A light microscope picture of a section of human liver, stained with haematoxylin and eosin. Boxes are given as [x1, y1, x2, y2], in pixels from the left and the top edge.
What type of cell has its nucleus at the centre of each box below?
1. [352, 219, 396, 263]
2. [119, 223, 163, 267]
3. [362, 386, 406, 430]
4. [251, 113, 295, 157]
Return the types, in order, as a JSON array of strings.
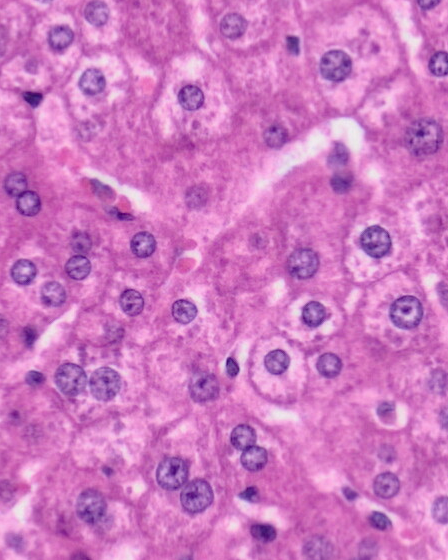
["hepatocyte", "hepatocyte", "Kupffer cell", "hepatocyte"]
